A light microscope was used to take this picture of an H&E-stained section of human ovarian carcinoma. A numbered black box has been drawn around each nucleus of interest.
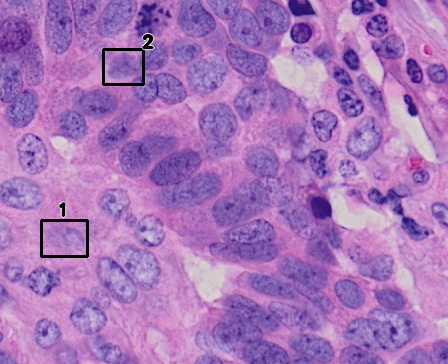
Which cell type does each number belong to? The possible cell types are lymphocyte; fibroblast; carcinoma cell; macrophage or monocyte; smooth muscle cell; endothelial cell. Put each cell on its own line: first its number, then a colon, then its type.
1: fibroblast
2: carcinoma cell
